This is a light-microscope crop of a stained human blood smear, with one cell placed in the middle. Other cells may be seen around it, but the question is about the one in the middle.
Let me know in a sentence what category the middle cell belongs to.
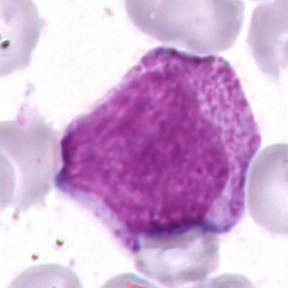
Centred in the crop is a myelocyte.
